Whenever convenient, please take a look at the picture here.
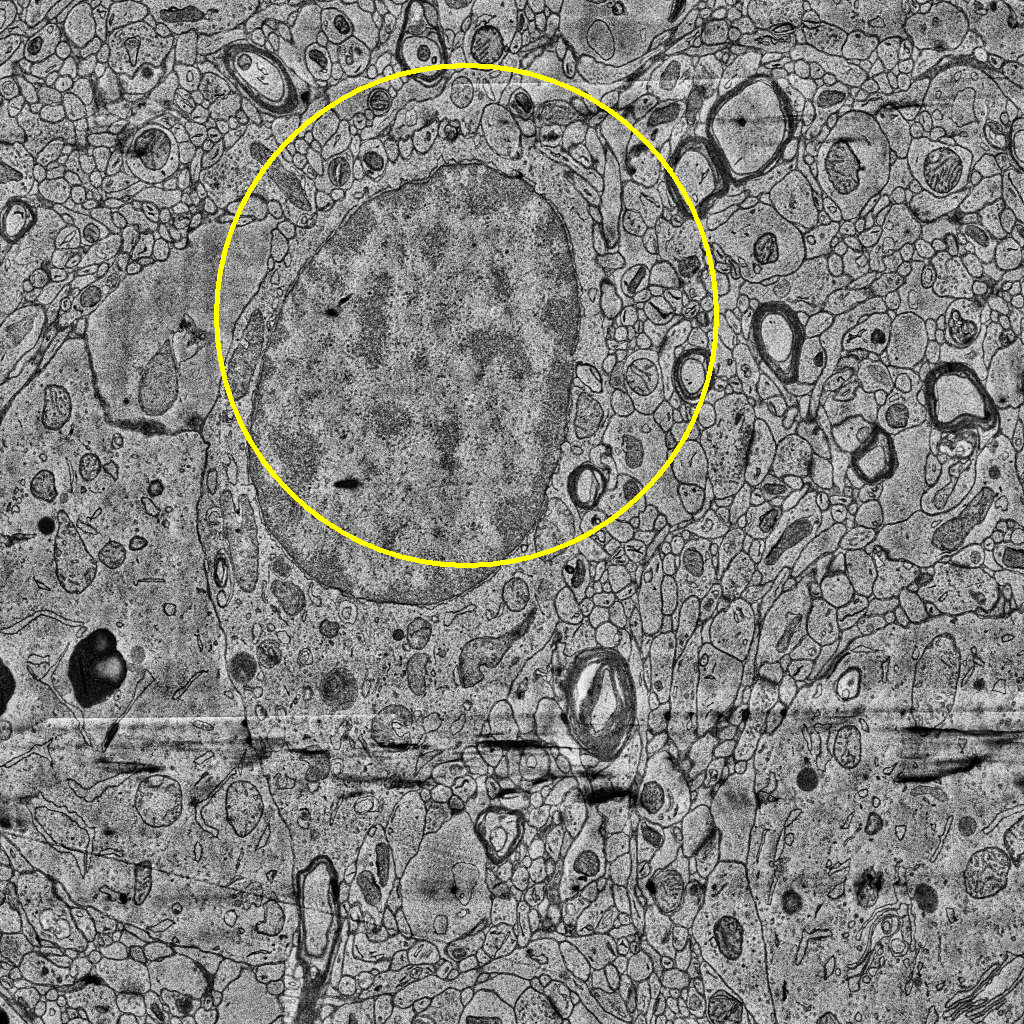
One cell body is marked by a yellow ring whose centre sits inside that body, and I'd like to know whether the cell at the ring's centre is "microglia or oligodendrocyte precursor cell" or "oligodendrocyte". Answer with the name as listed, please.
oligodendrocyte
